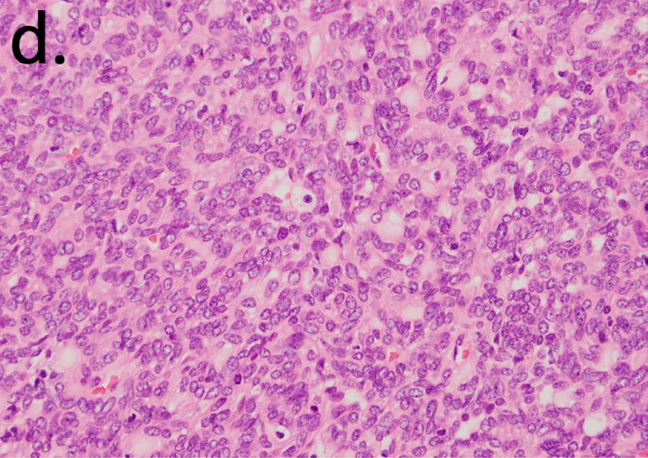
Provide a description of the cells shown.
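This is a densely cellular tumor made of closely packed tumor cells with round to oval nuclei. The nuclei have fine, evenly spread chromatin and small nucleoli, and vary only a little in size and shape. The cells have scant pale pink cytoplasm with indistinct borders, and small clear spaces and thin capillaries with red blood cells lie scattered between them.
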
